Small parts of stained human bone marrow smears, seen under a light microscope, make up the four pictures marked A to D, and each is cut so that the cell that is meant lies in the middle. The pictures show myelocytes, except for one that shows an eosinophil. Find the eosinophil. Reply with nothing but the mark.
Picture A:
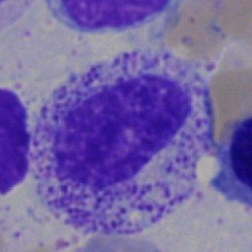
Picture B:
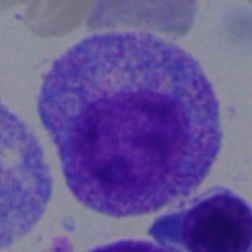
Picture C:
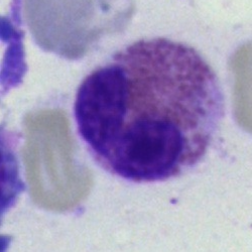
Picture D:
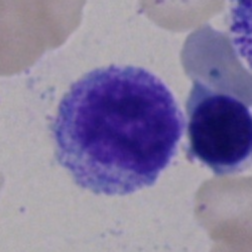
C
